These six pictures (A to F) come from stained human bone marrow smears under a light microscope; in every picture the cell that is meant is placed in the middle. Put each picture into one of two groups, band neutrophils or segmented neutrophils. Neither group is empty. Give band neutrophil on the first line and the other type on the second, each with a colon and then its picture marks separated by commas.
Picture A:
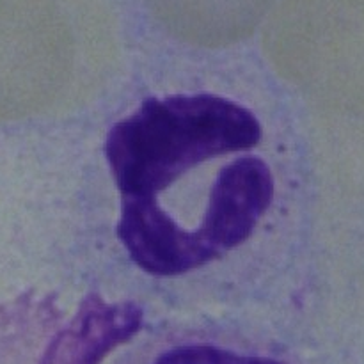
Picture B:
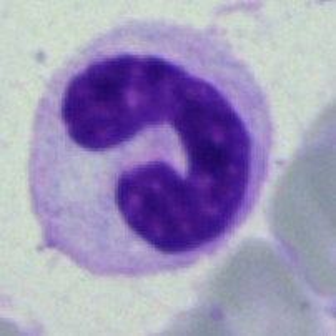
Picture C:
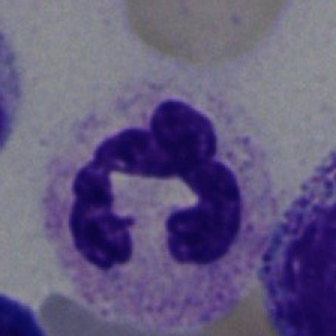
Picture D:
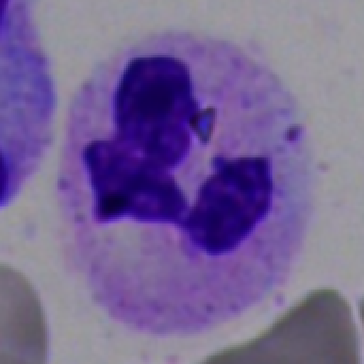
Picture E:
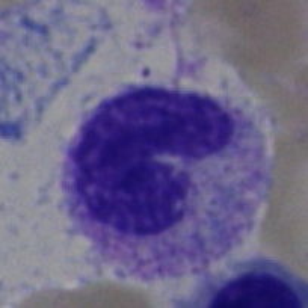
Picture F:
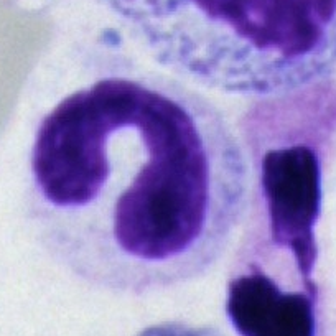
band neutrophil: B, E
segmented neutrophil: A, C, D, F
